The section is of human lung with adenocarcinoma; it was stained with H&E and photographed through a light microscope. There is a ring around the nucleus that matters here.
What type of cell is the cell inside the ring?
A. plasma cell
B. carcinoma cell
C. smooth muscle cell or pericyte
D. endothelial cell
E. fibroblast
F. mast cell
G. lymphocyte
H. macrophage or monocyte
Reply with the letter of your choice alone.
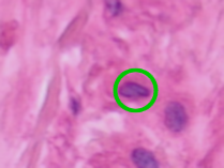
C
